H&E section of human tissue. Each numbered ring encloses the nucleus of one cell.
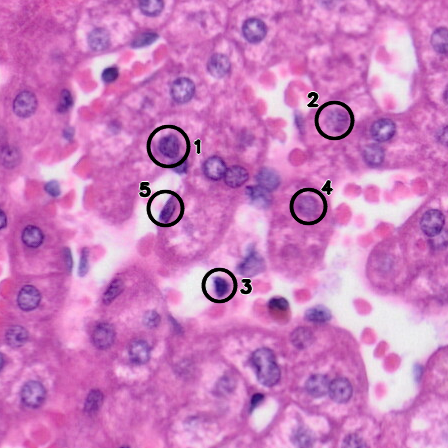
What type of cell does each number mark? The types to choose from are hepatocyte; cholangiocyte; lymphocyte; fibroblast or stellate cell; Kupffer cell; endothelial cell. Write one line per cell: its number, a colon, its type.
1: hepatocyte
2: hepatocyte
3: lymphocyte
4: hepatocyte
5: Kupffer cell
